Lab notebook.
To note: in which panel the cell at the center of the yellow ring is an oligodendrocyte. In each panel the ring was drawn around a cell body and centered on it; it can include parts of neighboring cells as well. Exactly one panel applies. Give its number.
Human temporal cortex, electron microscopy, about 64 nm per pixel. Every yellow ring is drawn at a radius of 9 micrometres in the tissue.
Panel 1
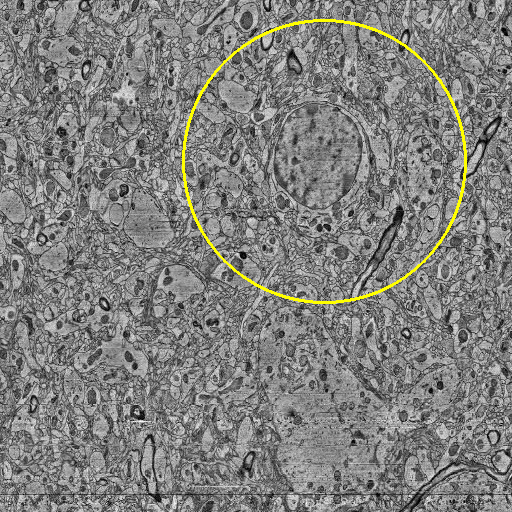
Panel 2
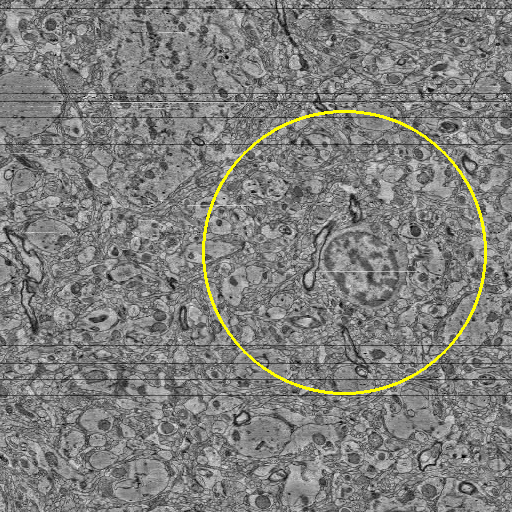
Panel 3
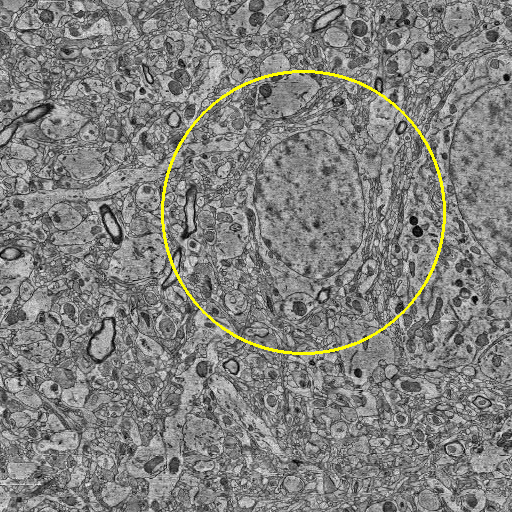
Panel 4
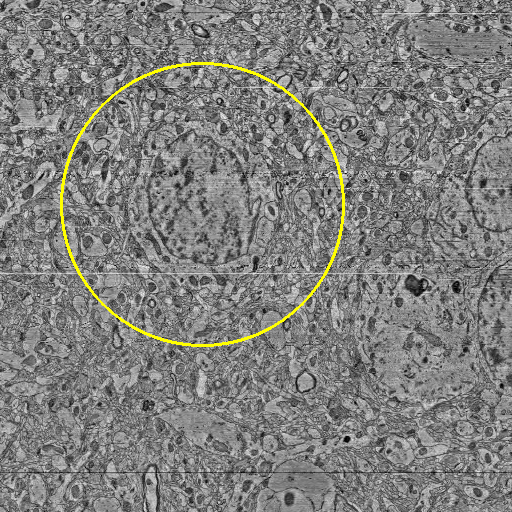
2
